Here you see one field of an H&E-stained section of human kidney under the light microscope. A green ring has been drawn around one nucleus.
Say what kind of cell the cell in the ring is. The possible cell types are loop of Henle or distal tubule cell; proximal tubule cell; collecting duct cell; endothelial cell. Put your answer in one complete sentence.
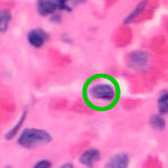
In the tissue at hand, the cell in the ring is an endothelial cell.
